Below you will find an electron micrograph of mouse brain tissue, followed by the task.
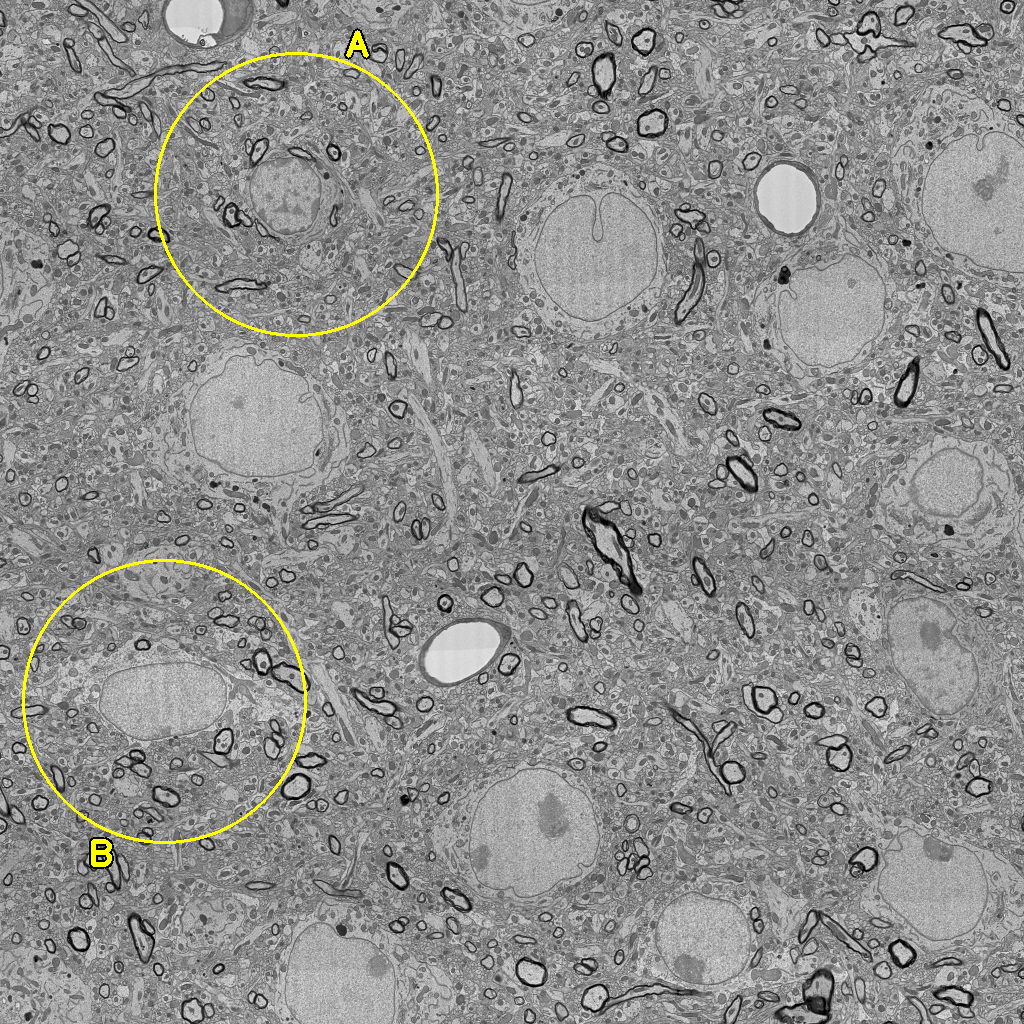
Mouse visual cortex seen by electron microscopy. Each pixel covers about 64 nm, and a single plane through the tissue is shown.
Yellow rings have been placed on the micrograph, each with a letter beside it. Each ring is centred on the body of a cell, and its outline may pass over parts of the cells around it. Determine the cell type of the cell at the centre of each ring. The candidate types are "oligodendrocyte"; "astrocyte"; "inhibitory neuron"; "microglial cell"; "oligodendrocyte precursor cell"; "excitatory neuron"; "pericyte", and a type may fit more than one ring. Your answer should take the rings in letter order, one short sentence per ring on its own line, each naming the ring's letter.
The centre of ring A falls on an oligodendrocyte.
The centre of ring B falls on an astrocyte.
